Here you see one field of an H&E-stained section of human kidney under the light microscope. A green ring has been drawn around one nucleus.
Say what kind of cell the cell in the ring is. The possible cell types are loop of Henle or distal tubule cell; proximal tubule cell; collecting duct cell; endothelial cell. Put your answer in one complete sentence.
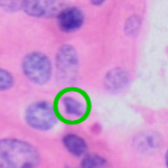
The correct response here is that the cell in the ring is a collecting duct cell.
